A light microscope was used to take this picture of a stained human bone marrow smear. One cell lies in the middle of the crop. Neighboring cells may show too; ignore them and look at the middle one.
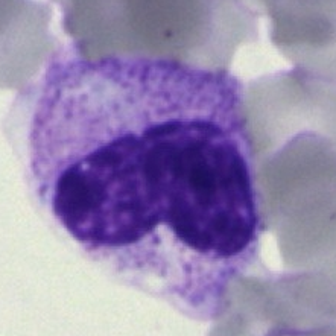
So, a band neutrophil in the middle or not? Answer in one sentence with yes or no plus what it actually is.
Yes, the cell that lies centrally is a band neutrophil.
